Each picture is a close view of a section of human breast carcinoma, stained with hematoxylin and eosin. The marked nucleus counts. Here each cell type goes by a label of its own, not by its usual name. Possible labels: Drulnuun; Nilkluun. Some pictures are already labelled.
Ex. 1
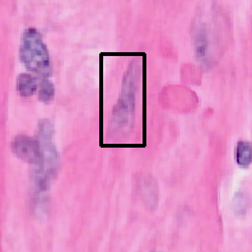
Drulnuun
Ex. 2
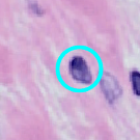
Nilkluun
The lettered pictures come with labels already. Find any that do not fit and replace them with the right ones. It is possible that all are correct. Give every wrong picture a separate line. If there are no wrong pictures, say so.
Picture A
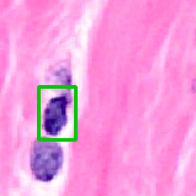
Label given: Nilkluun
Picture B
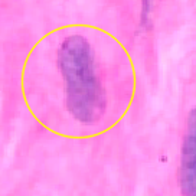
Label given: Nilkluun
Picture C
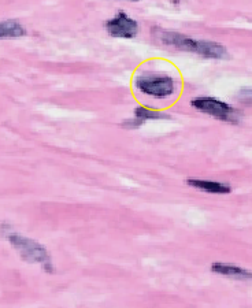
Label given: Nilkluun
Wrong: B (Nilkluun); correct: Drulnuun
